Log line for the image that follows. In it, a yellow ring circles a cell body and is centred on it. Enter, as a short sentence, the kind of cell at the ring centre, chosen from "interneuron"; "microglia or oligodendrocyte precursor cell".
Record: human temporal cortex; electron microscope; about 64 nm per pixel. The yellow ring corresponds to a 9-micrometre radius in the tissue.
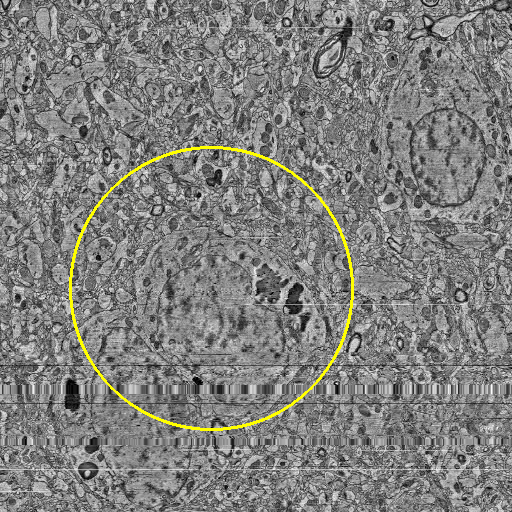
The ring centre is occupied by an interneuron.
